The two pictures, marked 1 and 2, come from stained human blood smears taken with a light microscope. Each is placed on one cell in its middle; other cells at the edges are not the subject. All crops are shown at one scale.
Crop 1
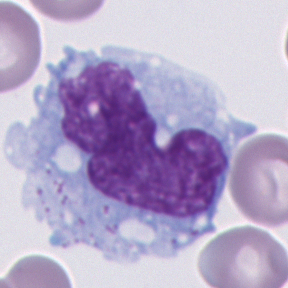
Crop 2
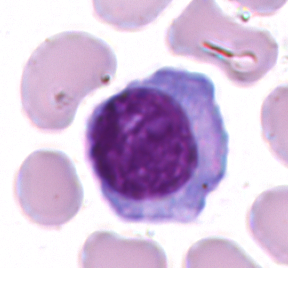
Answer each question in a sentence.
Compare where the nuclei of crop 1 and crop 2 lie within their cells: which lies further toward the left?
In crop 2 the nucleus is shifted more toward the left.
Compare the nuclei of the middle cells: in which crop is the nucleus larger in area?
The nucleus in crop 1 is larger, with about 1.5 times the area of the one in crop 2.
